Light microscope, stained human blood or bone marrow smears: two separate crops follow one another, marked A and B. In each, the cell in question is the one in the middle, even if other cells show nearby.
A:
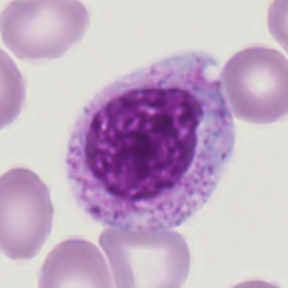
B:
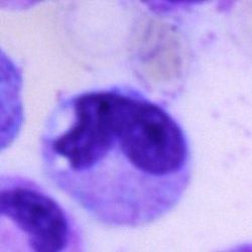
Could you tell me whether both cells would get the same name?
no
